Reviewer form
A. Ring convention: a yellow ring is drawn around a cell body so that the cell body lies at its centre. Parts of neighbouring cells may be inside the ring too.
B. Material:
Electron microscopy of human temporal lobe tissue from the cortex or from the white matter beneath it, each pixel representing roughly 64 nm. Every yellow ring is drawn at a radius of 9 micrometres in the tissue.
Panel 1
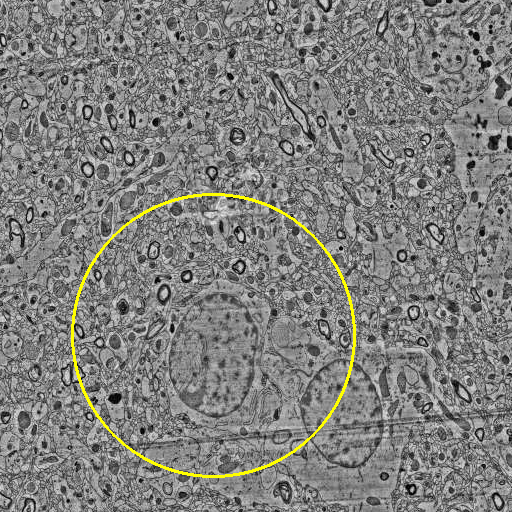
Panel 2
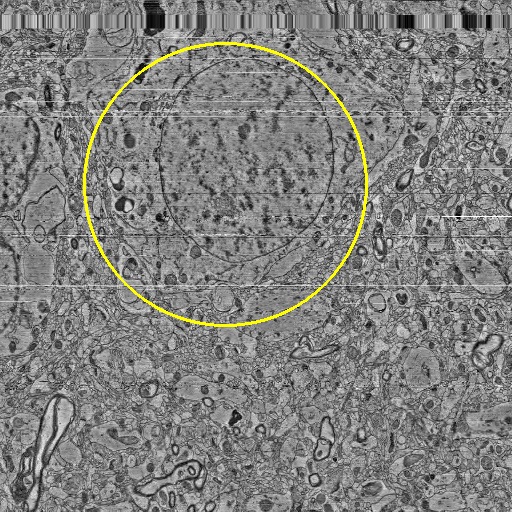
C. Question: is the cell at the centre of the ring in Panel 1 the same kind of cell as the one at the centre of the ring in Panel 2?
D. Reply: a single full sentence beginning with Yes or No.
No, the cells in Panel 1 and Panel 2 are two kinds of cell.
